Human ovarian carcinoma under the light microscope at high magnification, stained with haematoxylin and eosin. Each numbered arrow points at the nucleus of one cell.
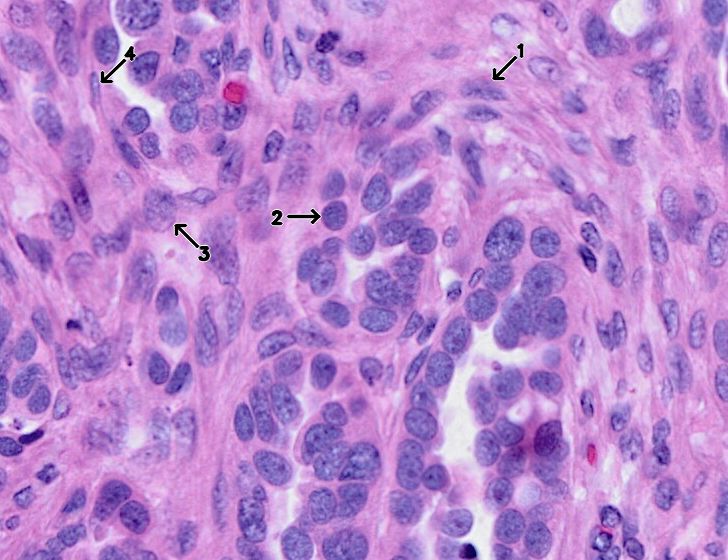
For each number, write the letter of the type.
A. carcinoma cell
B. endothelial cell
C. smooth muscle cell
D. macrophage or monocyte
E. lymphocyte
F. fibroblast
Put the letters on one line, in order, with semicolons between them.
F; A; F; F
